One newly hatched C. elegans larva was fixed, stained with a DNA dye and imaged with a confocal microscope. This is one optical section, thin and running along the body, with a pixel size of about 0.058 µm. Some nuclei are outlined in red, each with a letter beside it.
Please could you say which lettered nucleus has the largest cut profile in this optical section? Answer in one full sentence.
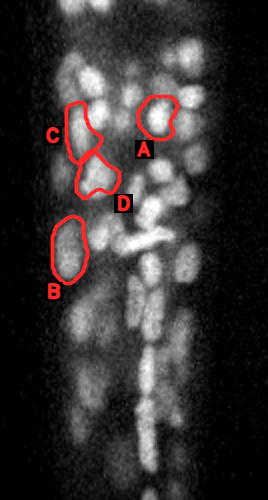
Nucleus B covers the most area here.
